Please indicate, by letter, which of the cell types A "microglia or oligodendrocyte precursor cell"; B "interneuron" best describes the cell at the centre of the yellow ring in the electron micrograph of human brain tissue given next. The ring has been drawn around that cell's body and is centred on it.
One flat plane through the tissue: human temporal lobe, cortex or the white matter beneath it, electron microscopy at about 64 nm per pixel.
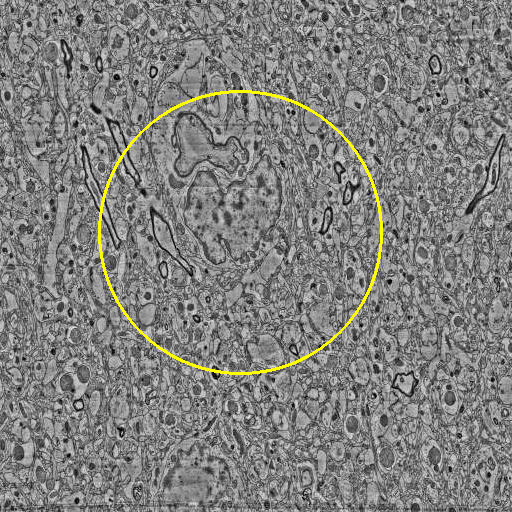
A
